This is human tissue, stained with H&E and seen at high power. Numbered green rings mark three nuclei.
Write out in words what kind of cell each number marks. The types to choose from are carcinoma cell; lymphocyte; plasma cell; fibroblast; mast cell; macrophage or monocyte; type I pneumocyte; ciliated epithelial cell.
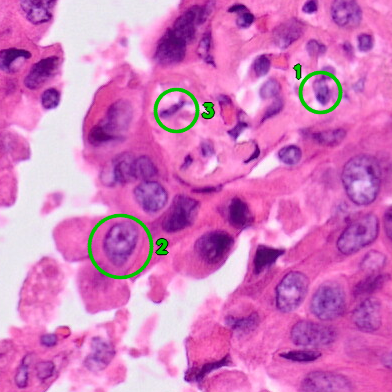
Cell 1 is a lymphocyte. Cell 2 is a carcinoma cell. Cell 3 is a fibroblast.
